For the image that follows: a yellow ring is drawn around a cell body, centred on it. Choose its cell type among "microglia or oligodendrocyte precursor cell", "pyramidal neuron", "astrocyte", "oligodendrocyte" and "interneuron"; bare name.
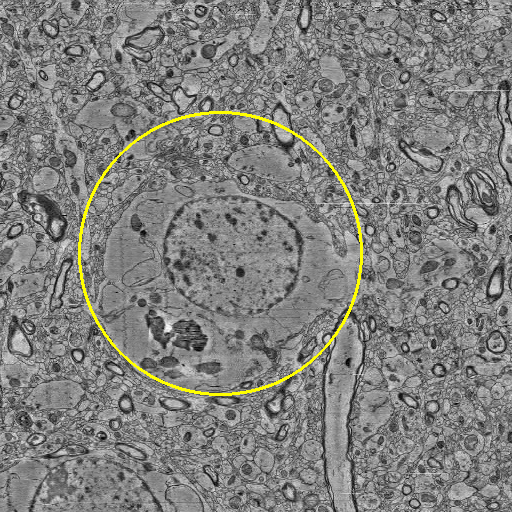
astrocyte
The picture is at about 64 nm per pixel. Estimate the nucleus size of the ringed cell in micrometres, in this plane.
The nucleus of the ringed cell is approximately 8 micrometres across in this plane.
